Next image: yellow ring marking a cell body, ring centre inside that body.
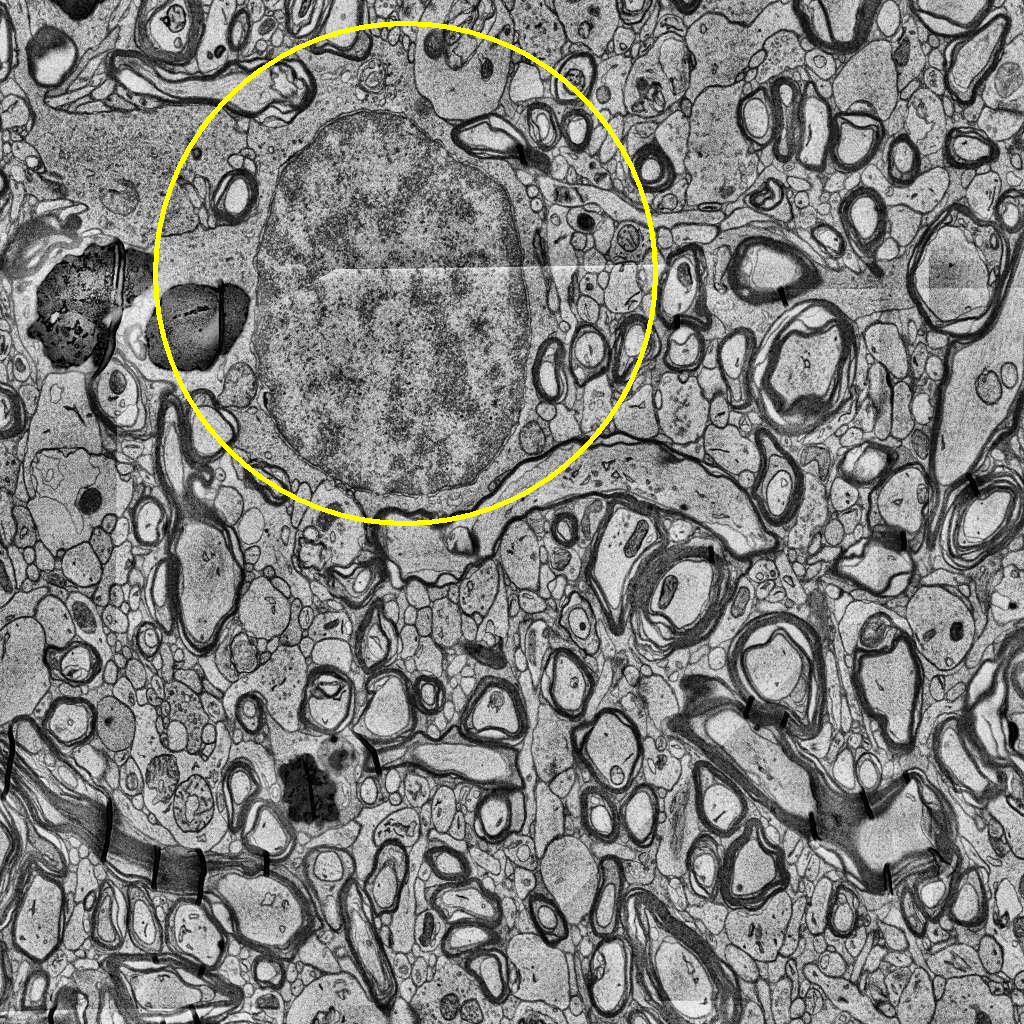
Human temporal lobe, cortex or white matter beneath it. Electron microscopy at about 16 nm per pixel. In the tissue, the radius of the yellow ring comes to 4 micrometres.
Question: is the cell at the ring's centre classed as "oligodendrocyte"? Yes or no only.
yes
